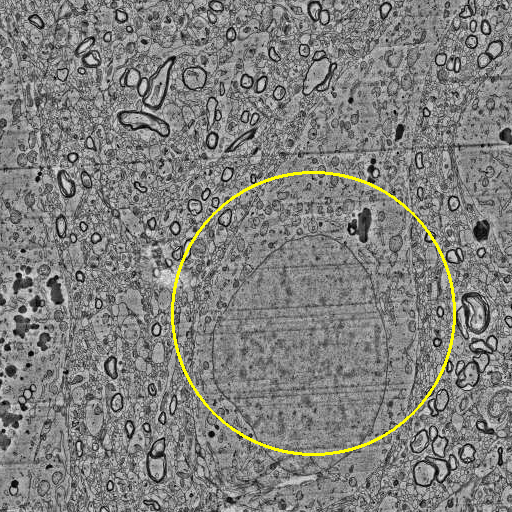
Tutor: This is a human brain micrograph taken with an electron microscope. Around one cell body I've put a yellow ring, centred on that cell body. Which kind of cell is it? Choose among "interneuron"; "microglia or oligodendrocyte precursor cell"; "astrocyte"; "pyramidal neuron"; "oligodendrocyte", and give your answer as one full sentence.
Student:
Going by your list, the cell centred in the yellow ring is a pyramidal neuron.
